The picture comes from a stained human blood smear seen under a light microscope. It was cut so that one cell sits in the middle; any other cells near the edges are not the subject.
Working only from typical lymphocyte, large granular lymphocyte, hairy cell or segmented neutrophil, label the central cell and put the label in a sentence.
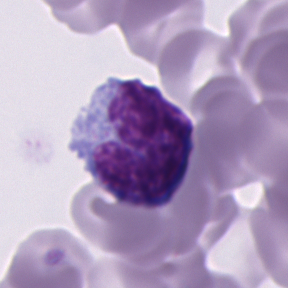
The centrally located cell in the crop is a typical lymphocyte.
